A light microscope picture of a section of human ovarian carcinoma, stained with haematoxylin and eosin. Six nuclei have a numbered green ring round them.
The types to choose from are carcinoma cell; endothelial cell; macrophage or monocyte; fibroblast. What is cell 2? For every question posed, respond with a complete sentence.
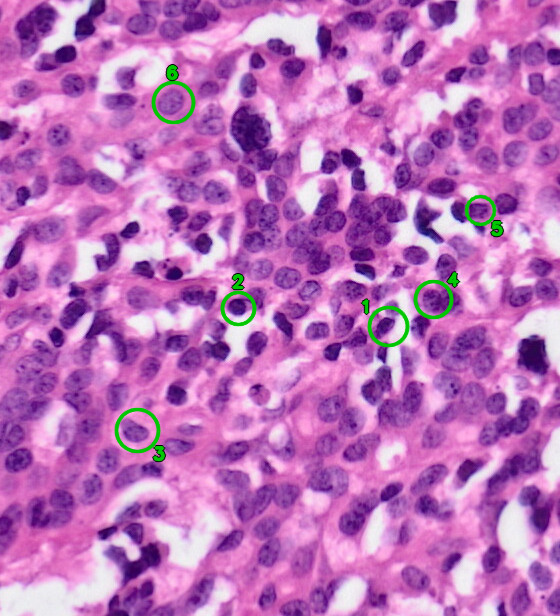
The cell to which the number 2 is assigned is a carcinoma cell.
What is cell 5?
The cell numbered 5 has been identified as a macrophage or monocyte.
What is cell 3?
The cell that goes by number 3 is a macrophage or monocyte.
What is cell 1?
The nucleus marked 1 is the nucleus of a carcinoma cell.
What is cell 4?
The cell indicated by marker 4 is a carcinoma cell in this section.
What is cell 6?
In the marked set, the cell given number 6 is a carcinoma cell.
